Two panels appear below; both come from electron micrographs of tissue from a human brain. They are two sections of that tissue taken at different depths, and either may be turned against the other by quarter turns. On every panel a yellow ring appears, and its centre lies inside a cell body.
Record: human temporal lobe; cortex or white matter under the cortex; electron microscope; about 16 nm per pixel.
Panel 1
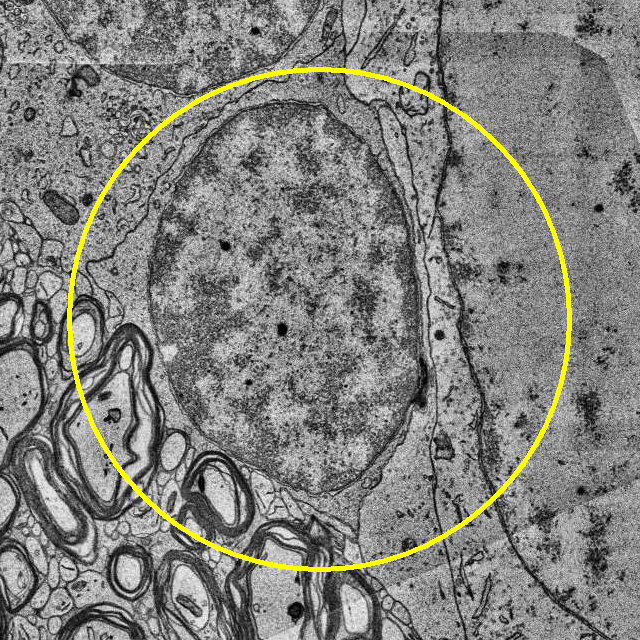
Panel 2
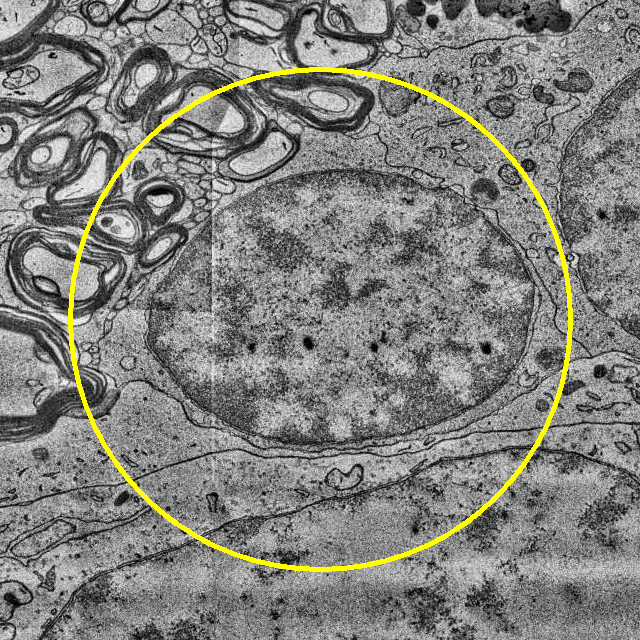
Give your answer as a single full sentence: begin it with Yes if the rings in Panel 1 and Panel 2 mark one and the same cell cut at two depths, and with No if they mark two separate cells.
Yes, one cell is ringed in yellow twice over.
